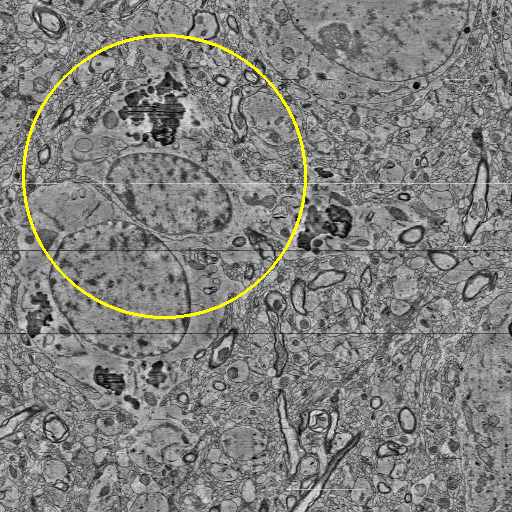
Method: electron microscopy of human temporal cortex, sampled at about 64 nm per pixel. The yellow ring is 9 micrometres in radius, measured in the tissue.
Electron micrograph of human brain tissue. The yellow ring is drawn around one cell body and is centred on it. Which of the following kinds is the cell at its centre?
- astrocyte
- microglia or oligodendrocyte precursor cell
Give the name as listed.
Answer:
astrocyte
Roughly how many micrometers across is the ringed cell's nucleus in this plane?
The nucleus is approximately 8 micrometers long by 5 micrometers wide in this plane.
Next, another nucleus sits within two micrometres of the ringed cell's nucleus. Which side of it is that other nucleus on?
That other nucleus is to the lower left of it.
